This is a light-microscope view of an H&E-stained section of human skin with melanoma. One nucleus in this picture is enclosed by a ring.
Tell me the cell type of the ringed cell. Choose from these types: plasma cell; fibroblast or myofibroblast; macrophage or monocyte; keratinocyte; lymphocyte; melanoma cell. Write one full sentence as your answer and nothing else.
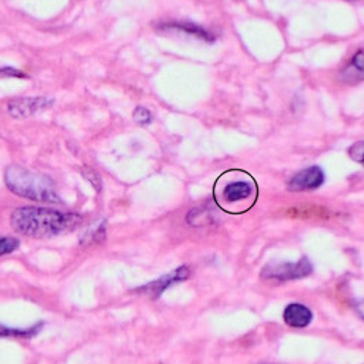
With respect to cell type, the ringed cell is a lymphocyte.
